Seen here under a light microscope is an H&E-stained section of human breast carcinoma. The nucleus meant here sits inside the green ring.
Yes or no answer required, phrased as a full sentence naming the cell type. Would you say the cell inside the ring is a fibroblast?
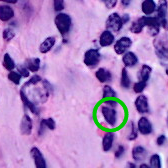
No, the cell inside the ring is a lymphocyte instead of a fibroblast.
